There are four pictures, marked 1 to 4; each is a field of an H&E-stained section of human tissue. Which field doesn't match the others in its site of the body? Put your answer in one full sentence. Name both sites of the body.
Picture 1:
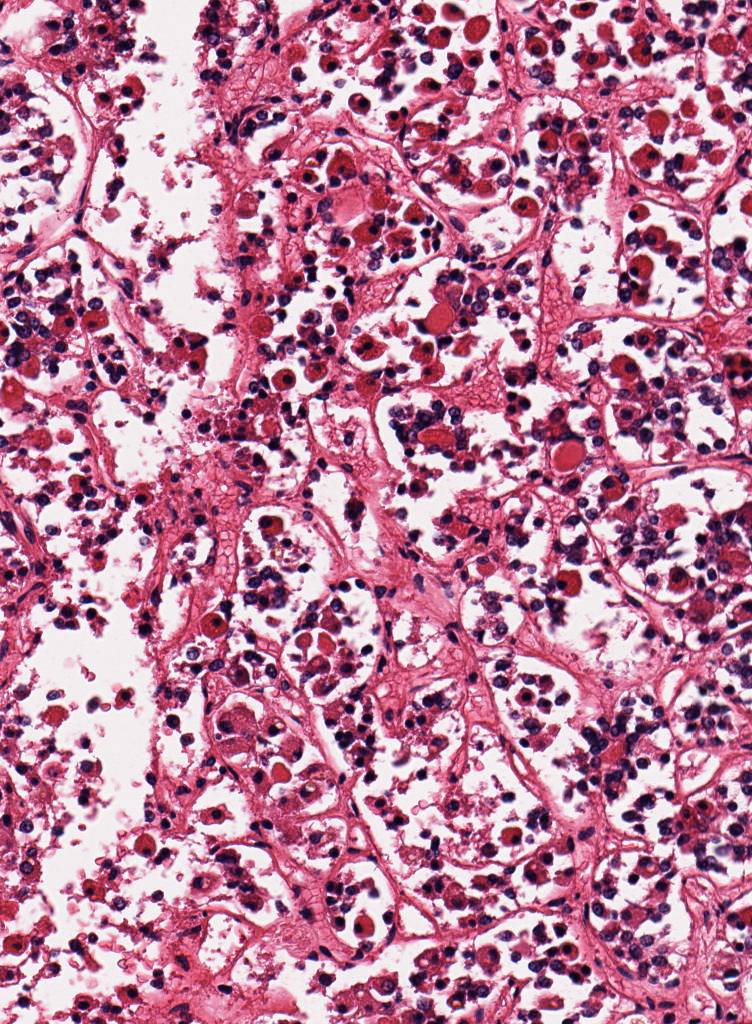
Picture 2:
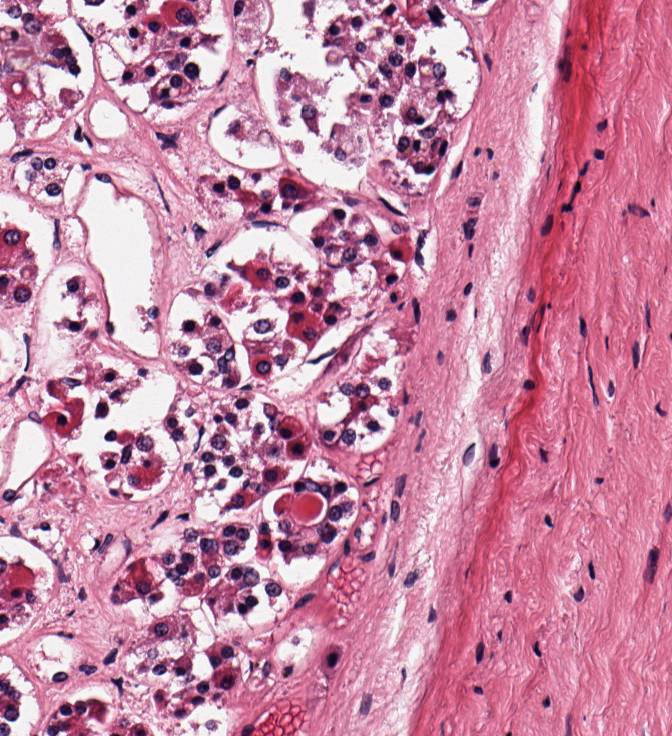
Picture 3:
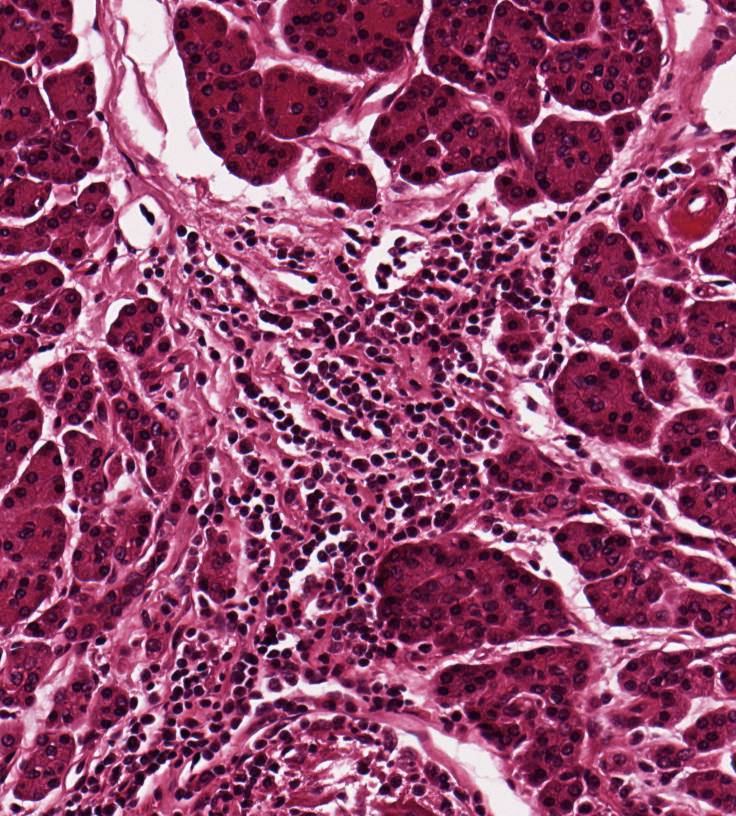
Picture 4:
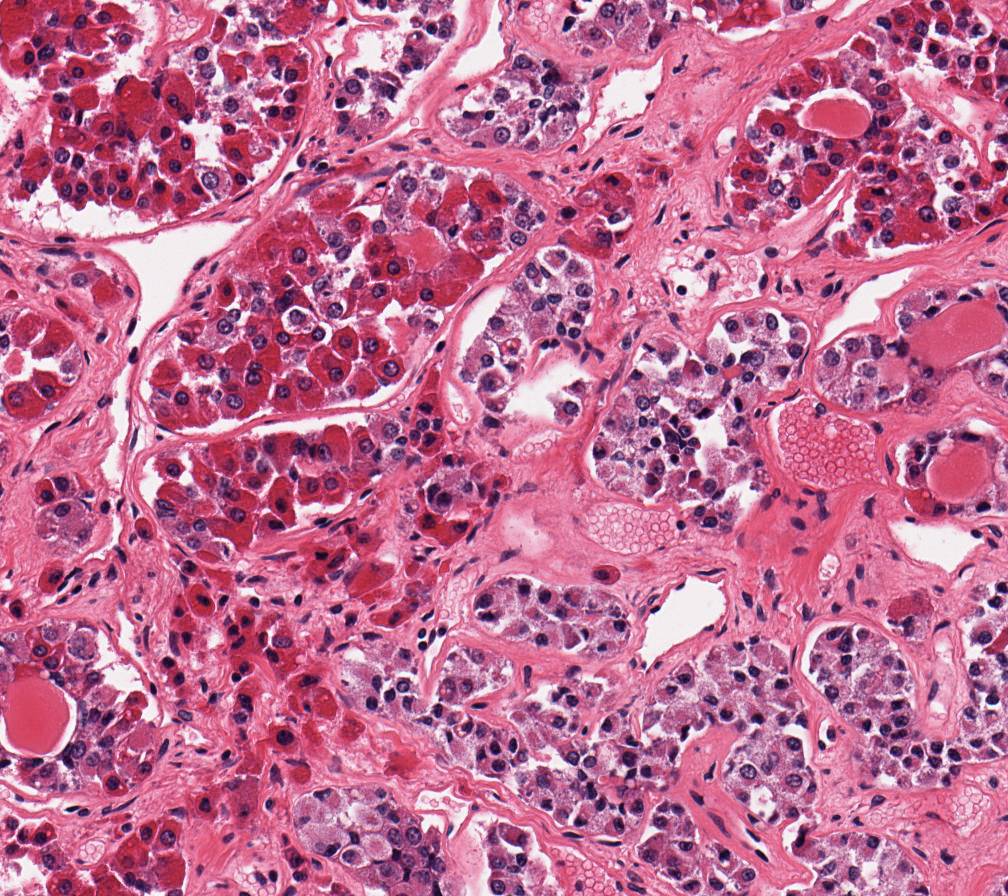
Picture 3 is the odd one out: it comes from the pancreas, while the others come from the pituitary.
